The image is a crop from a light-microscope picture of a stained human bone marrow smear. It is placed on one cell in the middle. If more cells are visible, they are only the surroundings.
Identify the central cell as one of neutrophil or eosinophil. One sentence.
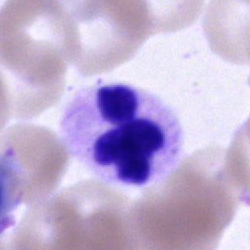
By classification, the middle cell of this crop is a neutrophil.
